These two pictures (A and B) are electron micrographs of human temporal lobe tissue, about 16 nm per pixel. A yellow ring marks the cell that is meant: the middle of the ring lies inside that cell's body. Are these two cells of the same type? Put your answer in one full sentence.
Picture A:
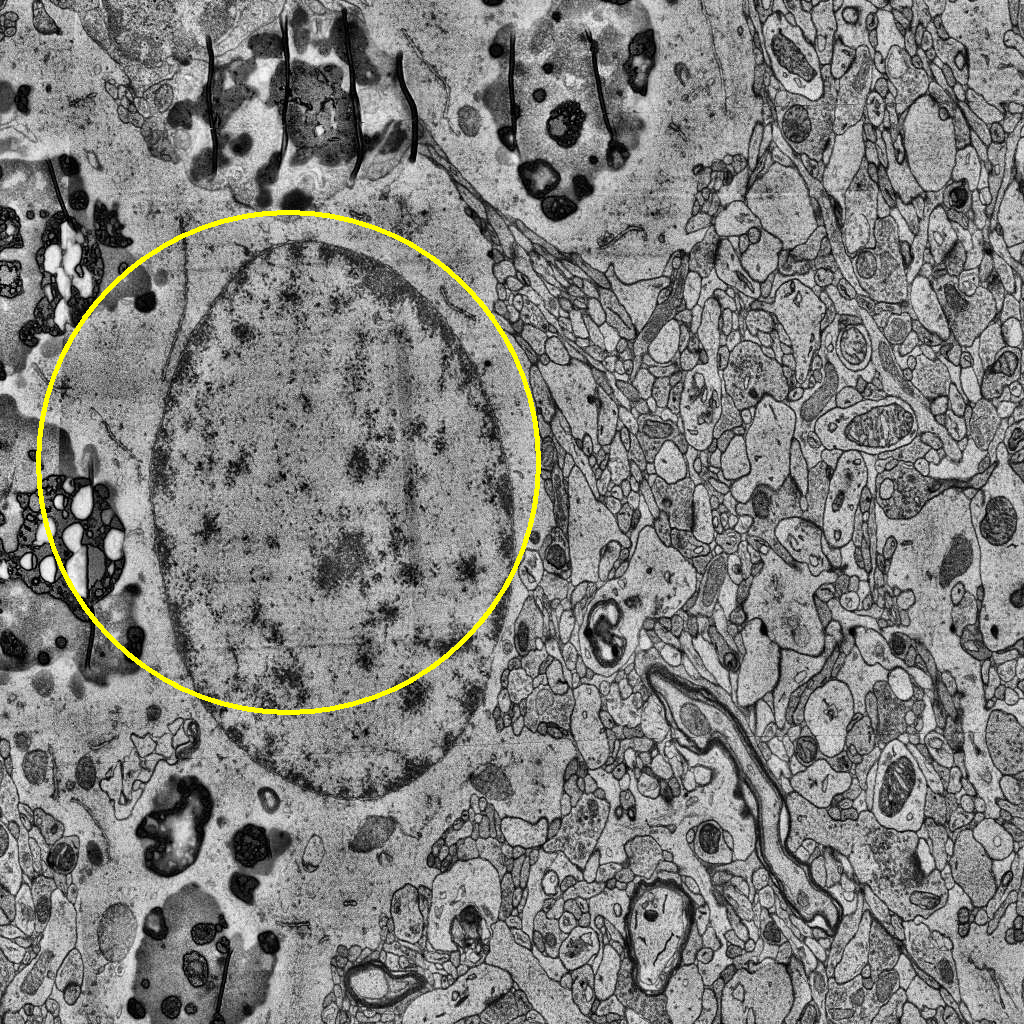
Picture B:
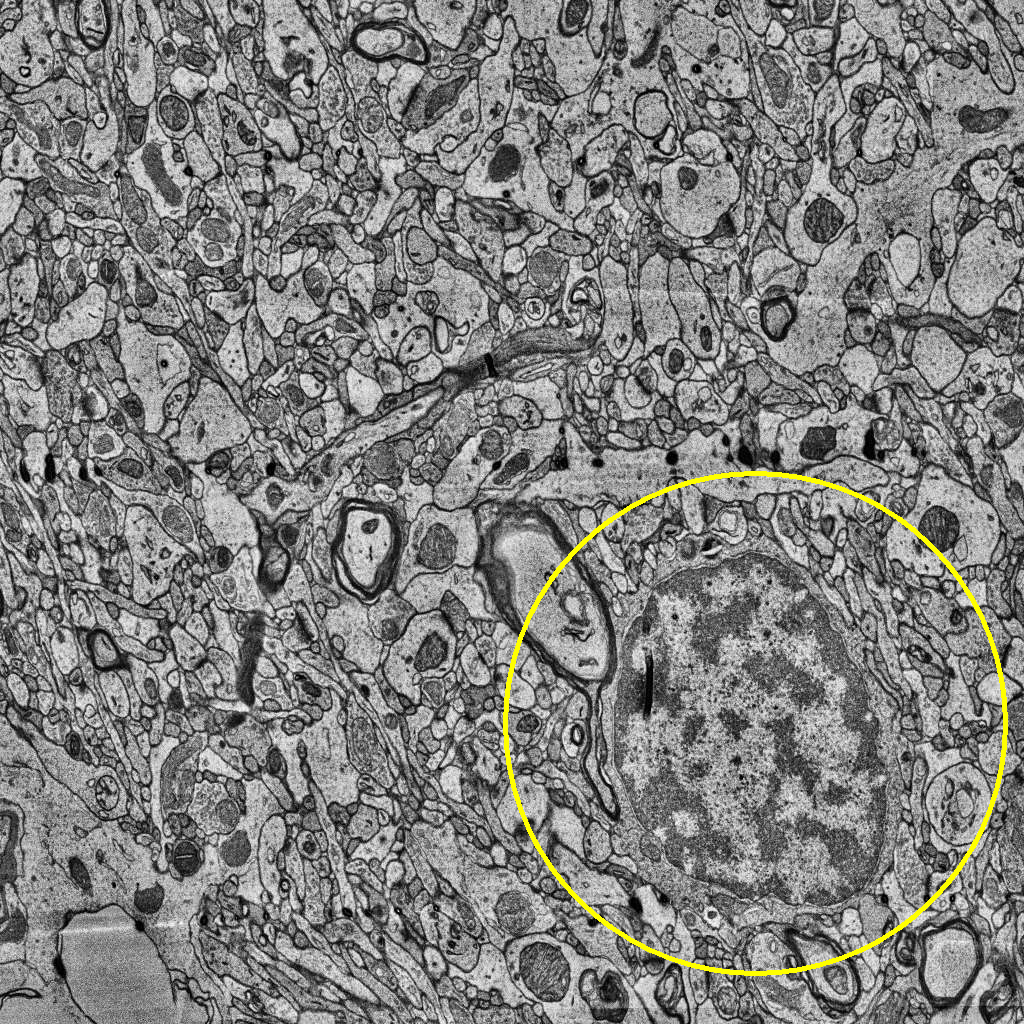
No, the types are not the same, since picture A shows an astrocyte and picture B an oligodendrocyte.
